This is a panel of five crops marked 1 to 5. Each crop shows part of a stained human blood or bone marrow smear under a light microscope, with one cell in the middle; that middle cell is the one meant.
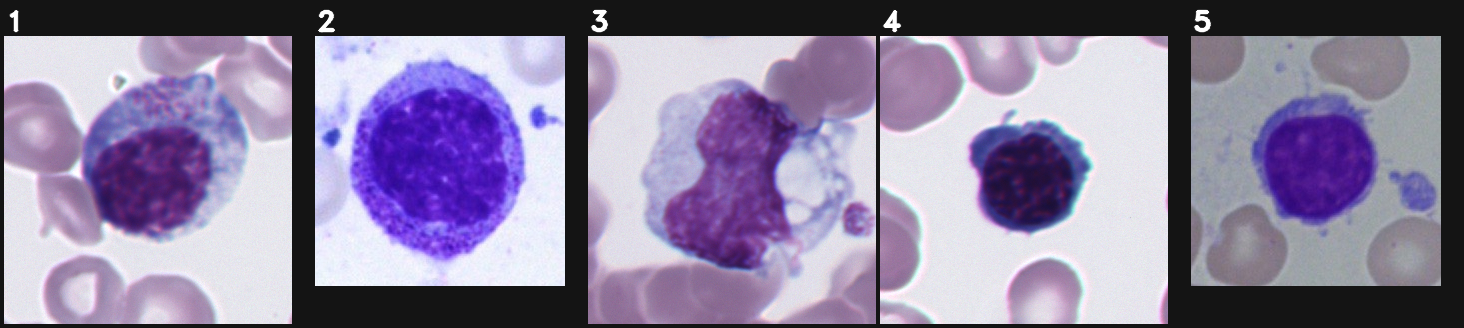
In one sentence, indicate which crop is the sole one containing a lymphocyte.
Crop 5 is the one in the set with a lymphocyte at the center.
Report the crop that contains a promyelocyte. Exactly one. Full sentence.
The crop that shows a promyelocyte is crop 2.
